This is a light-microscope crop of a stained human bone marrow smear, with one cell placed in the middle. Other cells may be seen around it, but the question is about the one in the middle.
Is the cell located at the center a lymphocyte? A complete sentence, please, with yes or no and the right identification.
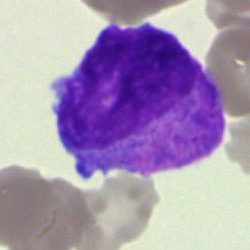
No, it is a blast and not a lymphocyte that occupies the middle of the crop.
